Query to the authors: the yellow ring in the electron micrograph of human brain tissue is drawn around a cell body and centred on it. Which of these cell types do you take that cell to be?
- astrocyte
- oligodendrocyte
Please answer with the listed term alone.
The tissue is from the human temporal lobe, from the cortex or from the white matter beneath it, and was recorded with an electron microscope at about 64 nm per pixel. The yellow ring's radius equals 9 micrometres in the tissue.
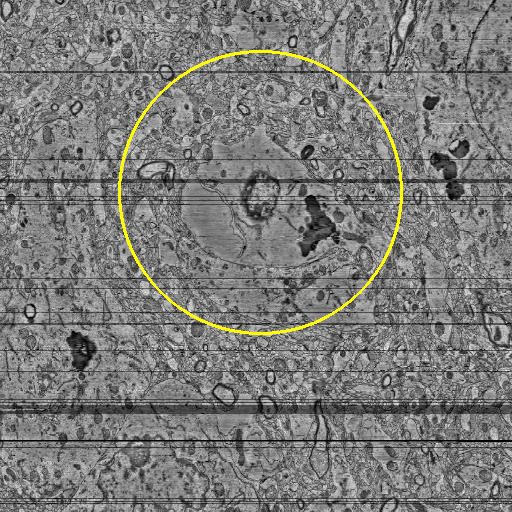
astrocyte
